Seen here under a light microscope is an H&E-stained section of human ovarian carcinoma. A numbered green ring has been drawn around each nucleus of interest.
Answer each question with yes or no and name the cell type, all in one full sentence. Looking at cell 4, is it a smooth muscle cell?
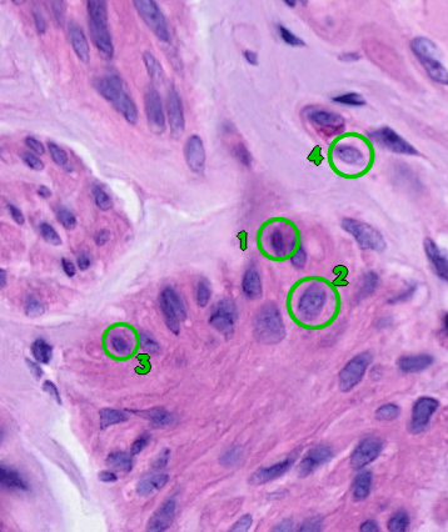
No, the nucleus numbered 4 belongs to an endothelial cell, not a smooth muscle cell.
